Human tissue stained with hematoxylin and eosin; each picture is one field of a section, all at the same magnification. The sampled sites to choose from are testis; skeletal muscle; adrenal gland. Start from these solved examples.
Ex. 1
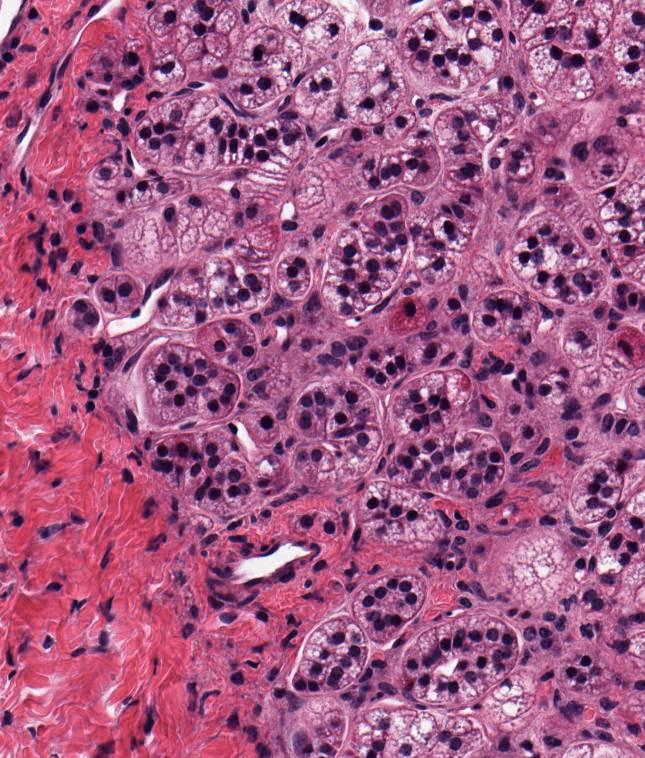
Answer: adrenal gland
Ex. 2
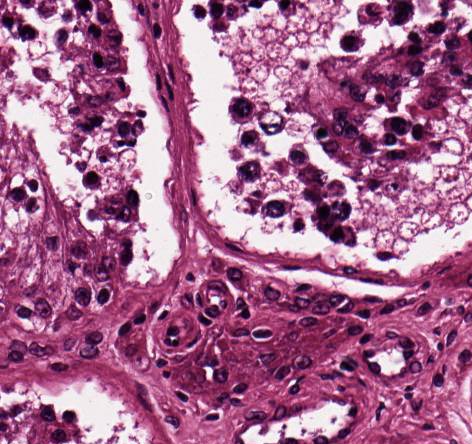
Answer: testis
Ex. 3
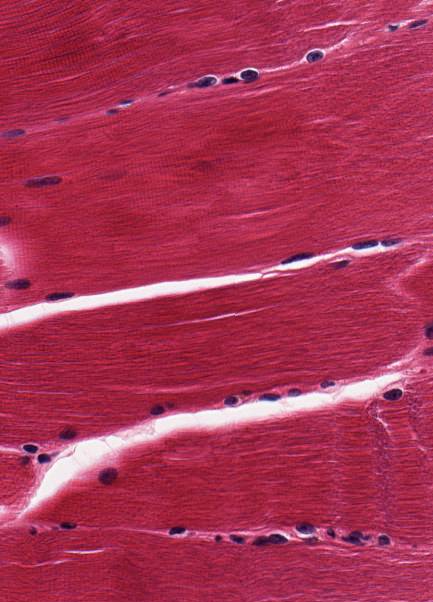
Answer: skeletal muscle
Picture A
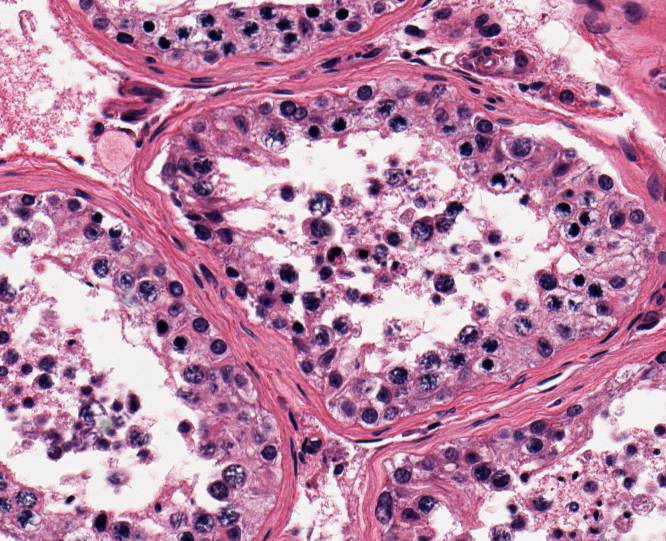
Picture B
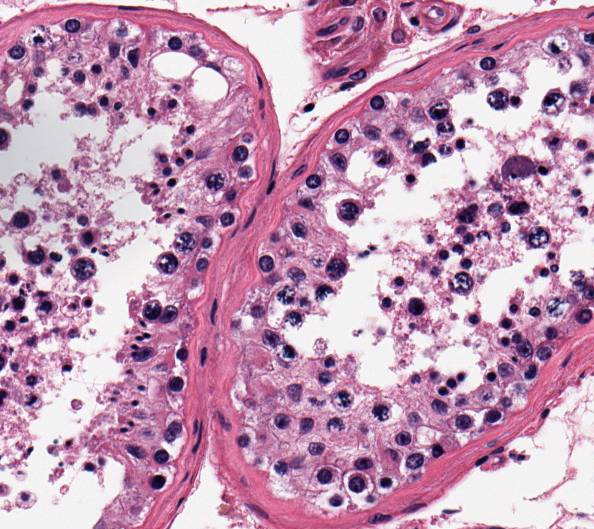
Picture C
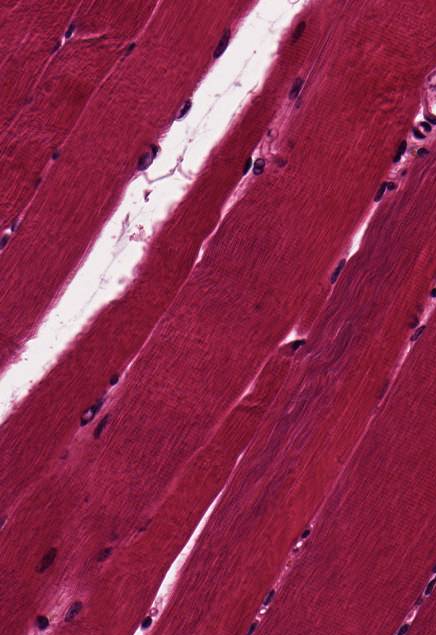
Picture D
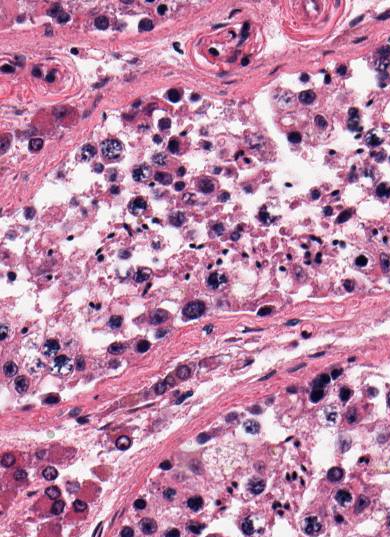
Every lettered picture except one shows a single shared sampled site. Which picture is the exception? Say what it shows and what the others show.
Exception: C, showing skeletal muscle. Remaining pictures: testis.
